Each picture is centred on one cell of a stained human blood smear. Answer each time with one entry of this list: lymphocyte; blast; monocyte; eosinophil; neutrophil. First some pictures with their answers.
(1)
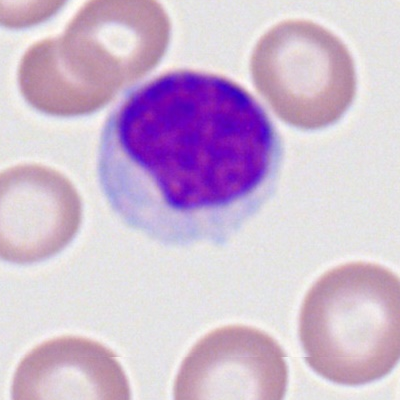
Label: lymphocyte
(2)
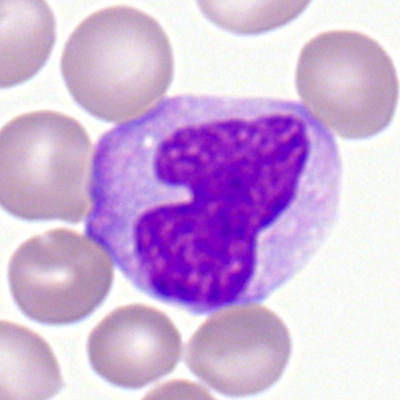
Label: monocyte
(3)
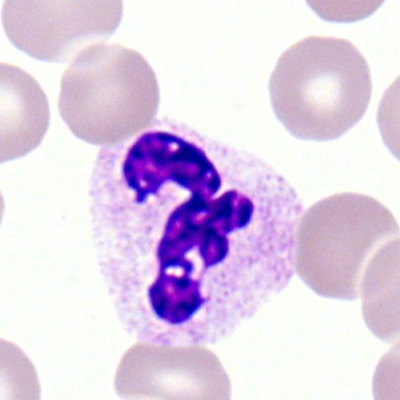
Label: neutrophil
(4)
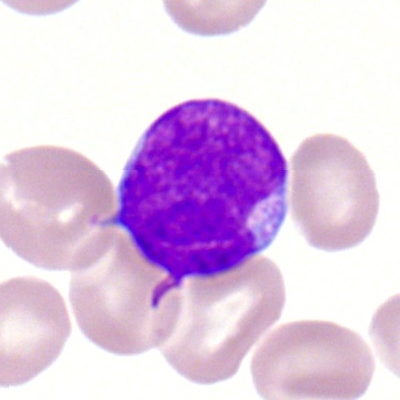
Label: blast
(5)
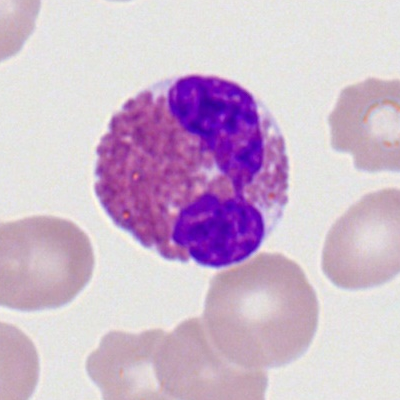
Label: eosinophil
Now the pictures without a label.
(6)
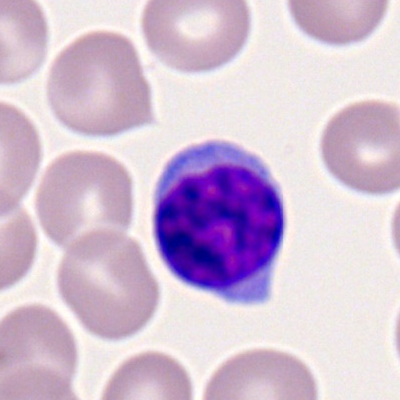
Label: lymphocyte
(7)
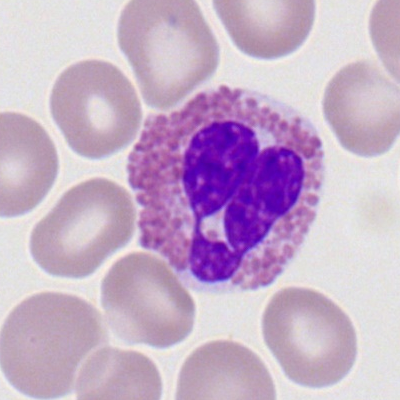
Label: eosinophil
